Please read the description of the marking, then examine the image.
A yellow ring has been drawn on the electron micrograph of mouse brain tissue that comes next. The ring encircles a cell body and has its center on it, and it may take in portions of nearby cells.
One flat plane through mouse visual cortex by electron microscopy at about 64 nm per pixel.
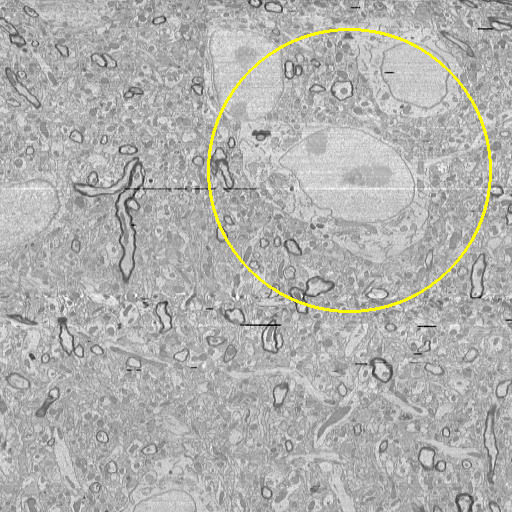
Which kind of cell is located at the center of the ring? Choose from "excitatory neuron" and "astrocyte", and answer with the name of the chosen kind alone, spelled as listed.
excitatory neuron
